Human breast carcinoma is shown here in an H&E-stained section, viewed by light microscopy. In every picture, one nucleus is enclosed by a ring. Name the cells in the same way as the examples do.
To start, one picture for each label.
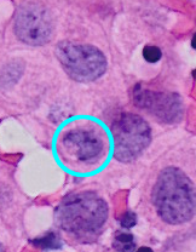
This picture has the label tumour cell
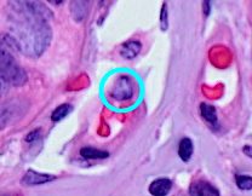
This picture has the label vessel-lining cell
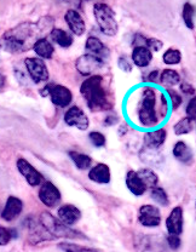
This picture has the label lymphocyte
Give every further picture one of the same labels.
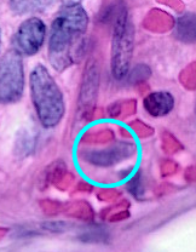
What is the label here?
vessel-lining cell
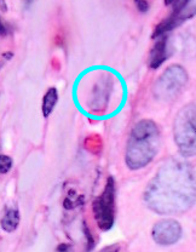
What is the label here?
vessel-lining cell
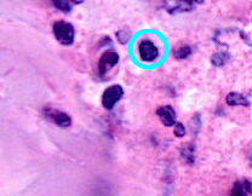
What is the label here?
lymphocyte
